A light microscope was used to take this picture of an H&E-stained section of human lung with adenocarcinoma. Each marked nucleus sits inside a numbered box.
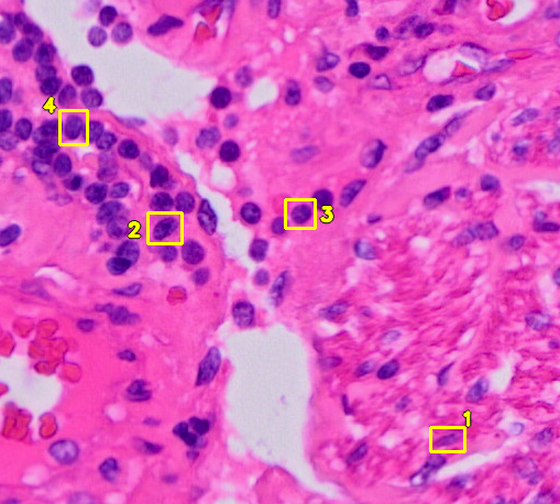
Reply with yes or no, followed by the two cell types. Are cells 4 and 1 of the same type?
No, cell 4 is a lymphocyte and cell 1 is a smooth muscle cell or pericyte.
